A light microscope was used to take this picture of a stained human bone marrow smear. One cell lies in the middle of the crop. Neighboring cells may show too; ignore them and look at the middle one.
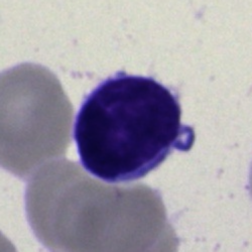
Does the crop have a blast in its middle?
no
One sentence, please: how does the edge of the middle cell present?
Irregularity marks the cell border, whether as raggedness or as projections.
